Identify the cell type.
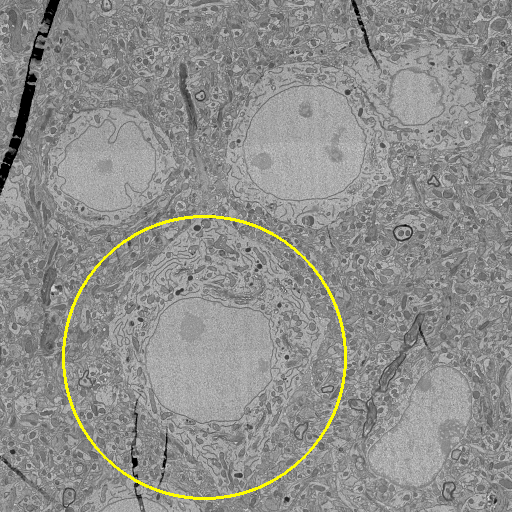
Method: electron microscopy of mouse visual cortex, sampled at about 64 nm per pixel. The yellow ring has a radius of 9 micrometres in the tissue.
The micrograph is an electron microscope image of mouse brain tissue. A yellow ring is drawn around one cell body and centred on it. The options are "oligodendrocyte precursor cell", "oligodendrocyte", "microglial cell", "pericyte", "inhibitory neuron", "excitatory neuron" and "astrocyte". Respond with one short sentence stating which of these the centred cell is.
The cell body in the ring belongs to an inhibitory neuron.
